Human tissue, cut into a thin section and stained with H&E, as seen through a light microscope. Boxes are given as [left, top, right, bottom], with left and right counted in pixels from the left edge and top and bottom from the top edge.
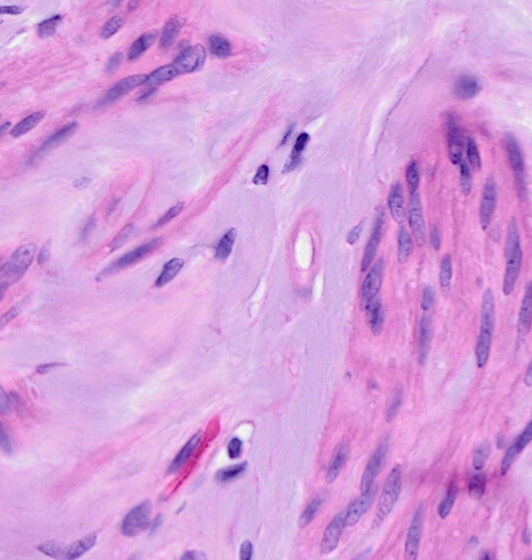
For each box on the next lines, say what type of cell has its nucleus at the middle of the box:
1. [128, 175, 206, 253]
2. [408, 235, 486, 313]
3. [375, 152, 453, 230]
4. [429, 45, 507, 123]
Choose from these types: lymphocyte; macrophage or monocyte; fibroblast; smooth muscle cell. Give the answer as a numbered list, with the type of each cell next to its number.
1. smooth muscle cell
2. smooth muscle cell
3. smooth muscle cell
4. fibroblast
